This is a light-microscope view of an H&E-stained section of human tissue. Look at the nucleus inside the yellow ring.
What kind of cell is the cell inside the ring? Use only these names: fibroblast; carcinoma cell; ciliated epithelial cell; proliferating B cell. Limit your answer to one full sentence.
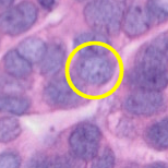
Right, so the cell inside the ring is a carcinoma cell, to answer that.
